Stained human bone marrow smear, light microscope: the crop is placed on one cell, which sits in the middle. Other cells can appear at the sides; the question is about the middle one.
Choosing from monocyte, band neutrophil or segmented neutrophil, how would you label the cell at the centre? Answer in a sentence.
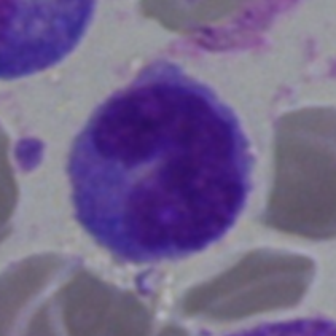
Regarding the central cell, it is a monocyte.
